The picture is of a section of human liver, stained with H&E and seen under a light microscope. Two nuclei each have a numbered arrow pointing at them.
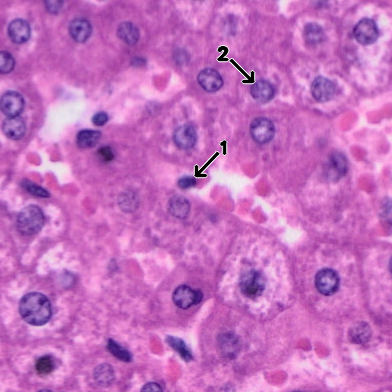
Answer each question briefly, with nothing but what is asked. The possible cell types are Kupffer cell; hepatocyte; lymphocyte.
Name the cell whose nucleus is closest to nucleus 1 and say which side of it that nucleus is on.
a hepatocyte; below nucleus 1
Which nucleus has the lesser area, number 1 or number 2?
1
